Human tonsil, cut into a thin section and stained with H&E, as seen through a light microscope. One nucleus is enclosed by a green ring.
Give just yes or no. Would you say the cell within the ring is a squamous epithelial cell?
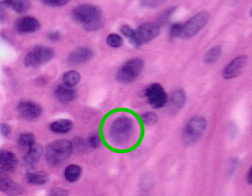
yes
